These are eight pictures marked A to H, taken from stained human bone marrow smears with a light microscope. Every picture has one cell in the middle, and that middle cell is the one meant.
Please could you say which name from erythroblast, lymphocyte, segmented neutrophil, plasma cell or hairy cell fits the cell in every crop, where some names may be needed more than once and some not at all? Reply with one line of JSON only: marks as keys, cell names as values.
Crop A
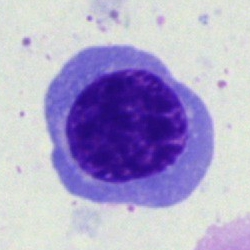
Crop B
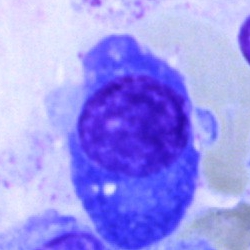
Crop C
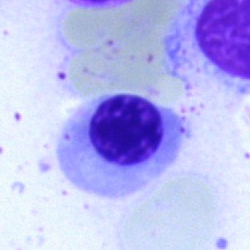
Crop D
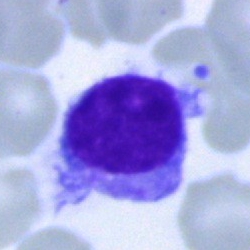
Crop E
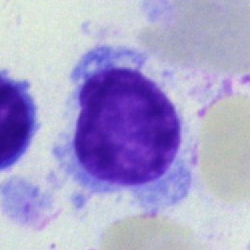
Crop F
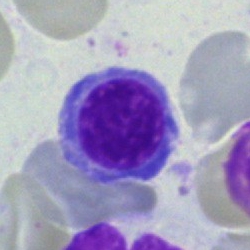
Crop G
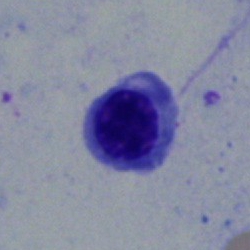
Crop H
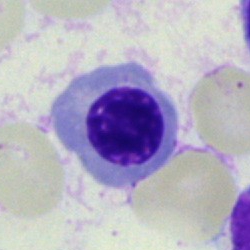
{"A": "erythroblast", "B": "plasma cell", "C": "erythroblast", "D": "hairy cell", "E": "hairy cell", "F": "erythroblast", "G": "erythroblast", "H": "erythroblast"}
